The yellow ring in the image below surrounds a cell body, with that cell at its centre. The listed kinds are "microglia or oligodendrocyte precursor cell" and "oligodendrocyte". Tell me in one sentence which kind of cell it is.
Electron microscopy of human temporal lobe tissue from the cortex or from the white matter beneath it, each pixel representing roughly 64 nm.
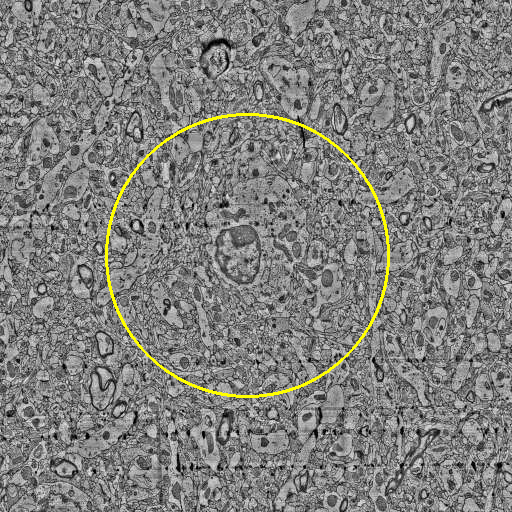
The centre of the ring holds a microglial cell or oligodendrocyte precursor cell.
